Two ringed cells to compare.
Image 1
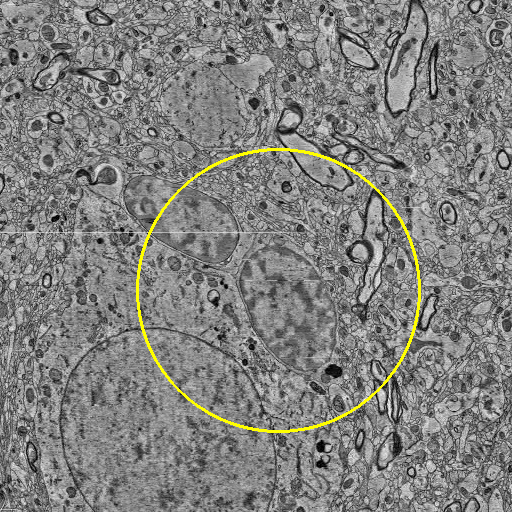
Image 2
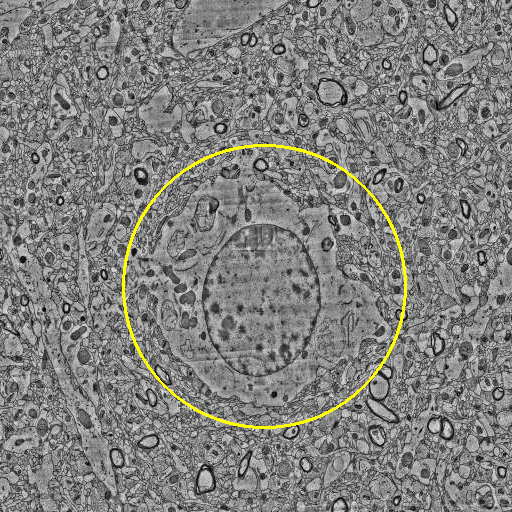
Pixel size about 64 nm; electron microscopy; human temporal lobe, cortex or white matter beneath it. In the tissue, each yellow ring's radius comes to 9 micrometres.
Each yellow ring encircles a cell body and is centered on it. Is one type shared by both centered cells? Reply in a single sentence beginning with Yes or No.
No, two types are found among the cells at the centers of the rings.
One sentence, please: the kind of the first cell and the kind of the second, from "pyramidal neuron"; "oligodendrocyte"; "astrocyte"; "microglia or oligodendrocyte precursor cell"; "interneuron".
The ring in the first picture surrounds an oligodendrocyte, and the ring in the second surrounds an astrocyte.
